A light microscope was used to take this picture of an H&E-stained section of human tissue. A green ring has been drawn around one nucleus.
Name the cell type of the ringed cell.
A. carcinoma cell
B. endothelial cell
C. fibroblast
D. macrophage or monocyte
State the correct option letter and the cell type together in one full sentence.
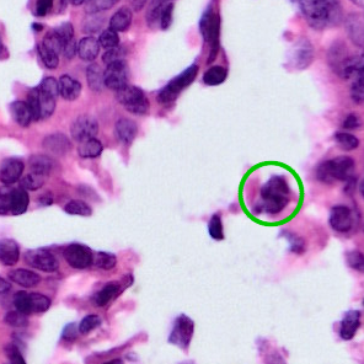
In agreement with option D, the ringed cell is a macrophage or monocyte.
